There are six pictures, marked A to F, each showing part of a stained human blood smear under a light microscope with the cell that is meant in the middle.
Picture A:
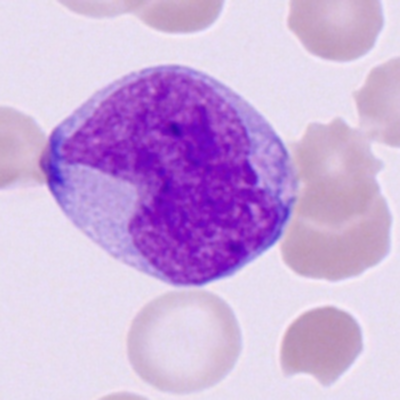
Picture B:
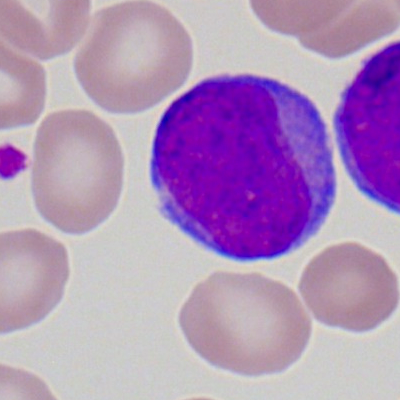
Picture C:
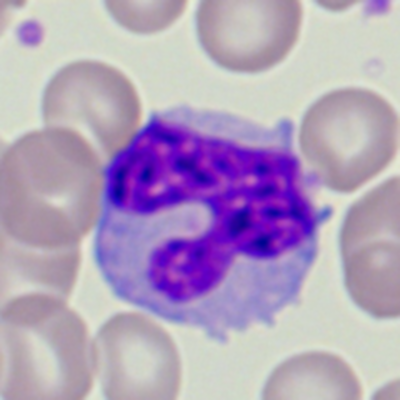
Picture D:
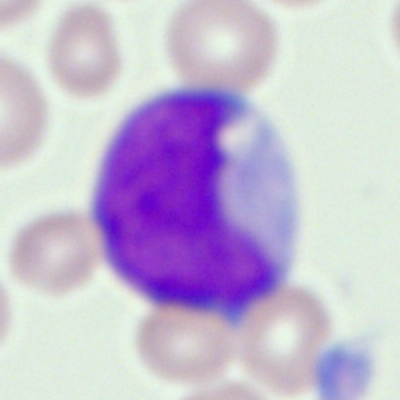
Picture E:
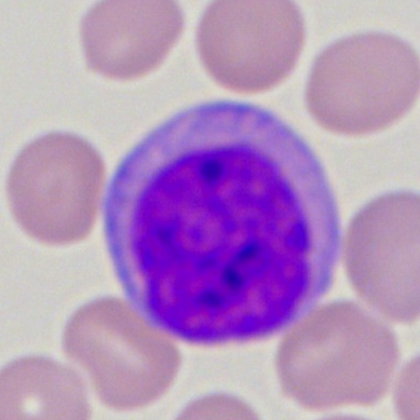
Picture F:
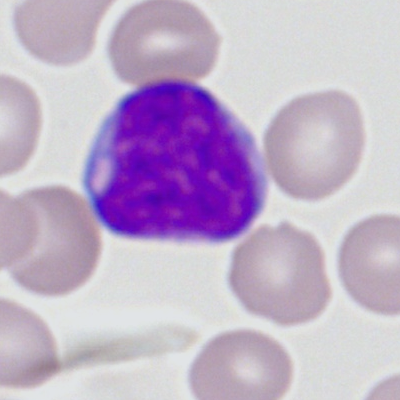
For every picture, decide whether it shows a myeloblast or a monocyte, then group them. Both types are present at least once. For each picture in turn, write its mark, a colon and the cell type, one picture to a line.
A: myeloblast
B: myeloblast
C: monocyte
D: myeloblast
E: monocyte
F: myeloblast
